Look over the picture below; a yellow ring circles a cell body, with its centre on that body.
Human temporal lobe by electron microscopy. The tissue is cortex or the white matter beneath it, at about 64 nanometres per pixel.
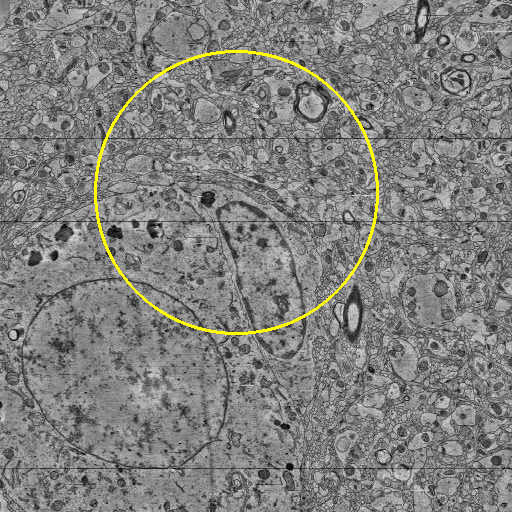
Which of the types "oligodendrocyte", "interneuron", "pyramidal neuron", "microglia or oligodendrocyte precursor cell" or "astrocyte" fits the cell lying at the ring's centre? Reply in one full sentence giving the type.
The picture shows a microglial cell or oligodendrocyte precursor cell at the centre of the yellow ring.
